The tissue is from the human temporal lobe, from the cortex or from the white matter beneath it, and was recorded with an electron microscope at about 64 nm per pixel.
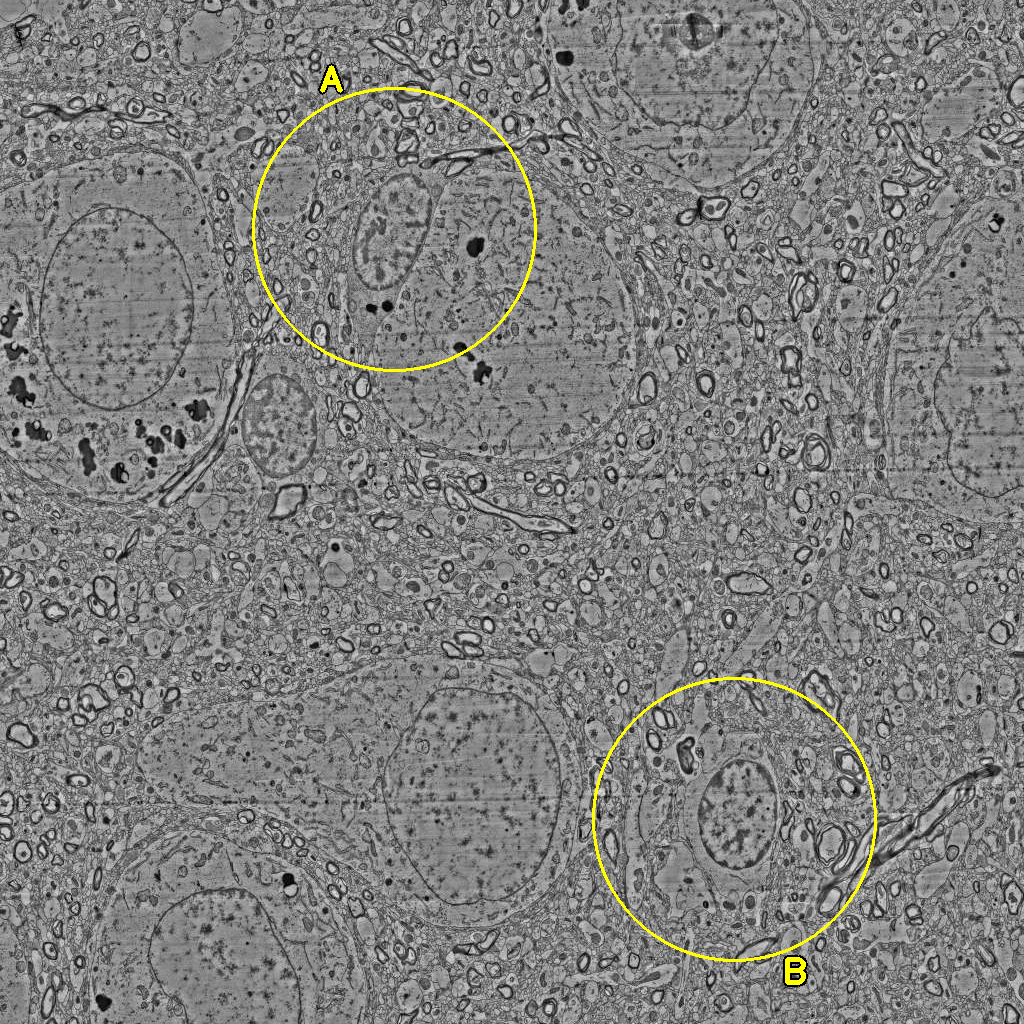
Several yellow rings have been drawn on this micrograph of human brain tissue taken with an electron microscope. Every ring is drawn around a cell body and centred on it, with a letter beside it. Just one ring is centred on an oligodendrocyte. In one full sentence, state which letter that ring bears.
At the centre of ring A is a cell of that kind.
